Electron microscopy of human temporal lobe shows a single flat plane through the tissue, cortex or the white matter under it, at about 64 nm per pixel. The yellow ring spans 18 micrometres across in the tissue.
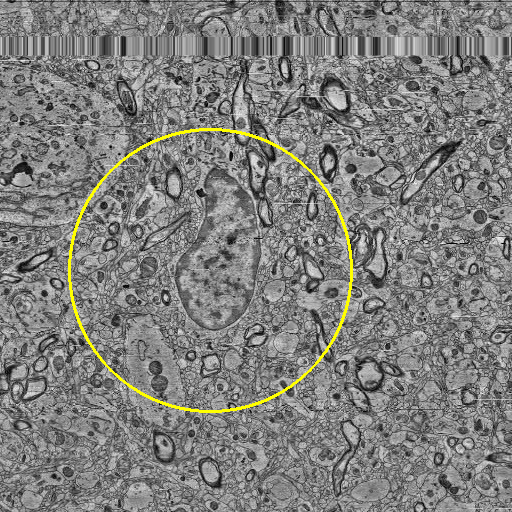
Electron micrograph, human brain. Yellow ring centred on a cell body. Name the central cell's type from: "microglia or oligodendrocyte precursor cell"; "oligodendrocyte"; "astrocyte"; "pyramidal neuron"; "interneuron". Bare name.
microglia or oligodendrocyte precursor cell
